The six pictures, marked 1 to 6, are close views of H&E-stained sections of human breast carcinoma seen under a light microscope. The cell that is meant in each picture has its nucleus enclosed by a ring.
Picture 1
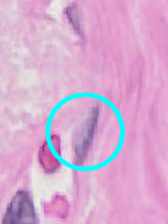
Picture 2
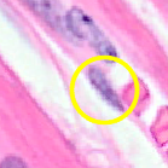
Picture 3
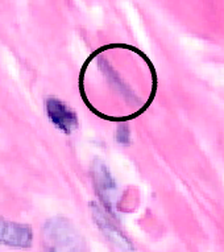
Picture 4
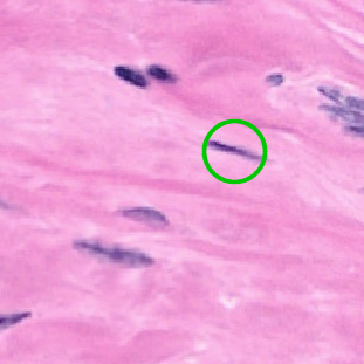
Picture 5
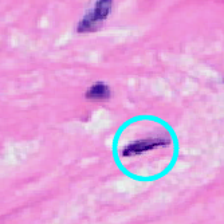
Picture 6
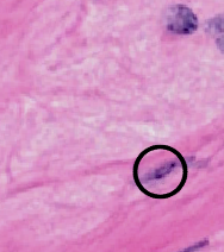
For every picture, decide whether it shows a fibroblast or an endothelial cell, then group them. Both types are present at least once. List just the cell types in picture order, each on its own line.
endothelial cell
endothelial cell
fibroblast
fibroblast
fibroblast
fibroblast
